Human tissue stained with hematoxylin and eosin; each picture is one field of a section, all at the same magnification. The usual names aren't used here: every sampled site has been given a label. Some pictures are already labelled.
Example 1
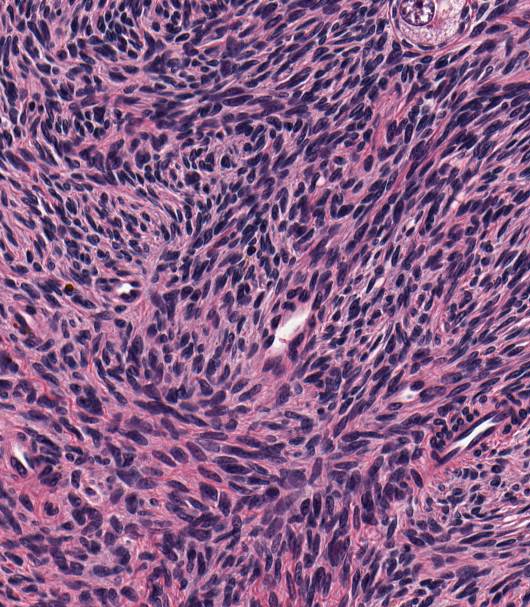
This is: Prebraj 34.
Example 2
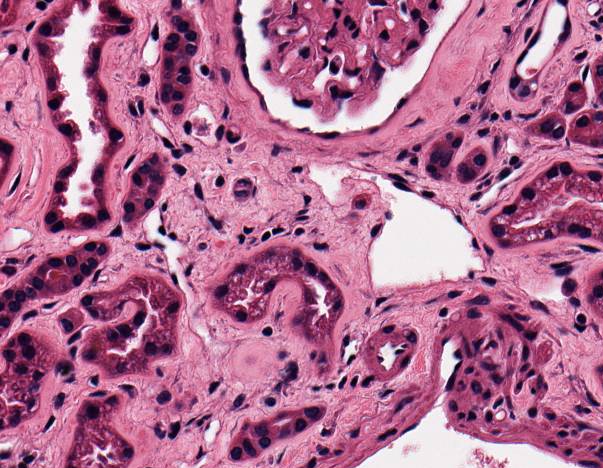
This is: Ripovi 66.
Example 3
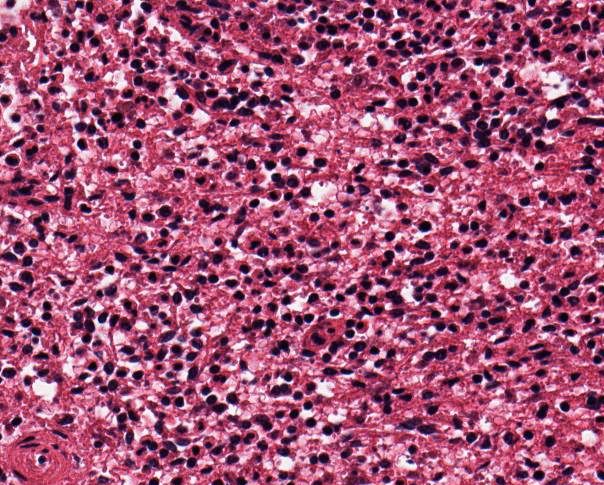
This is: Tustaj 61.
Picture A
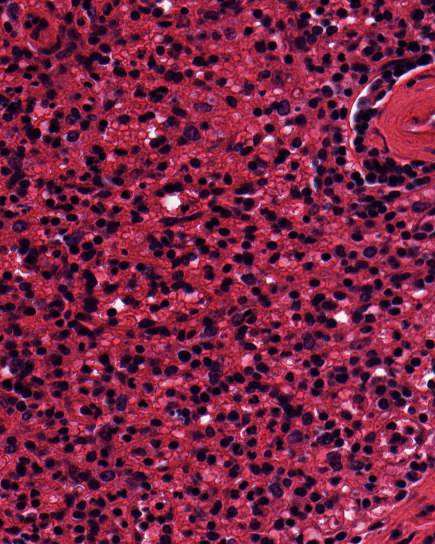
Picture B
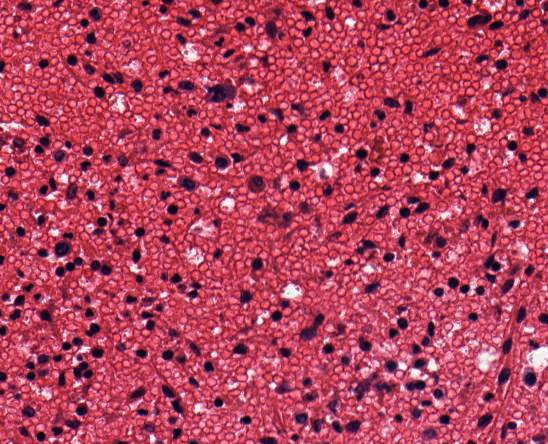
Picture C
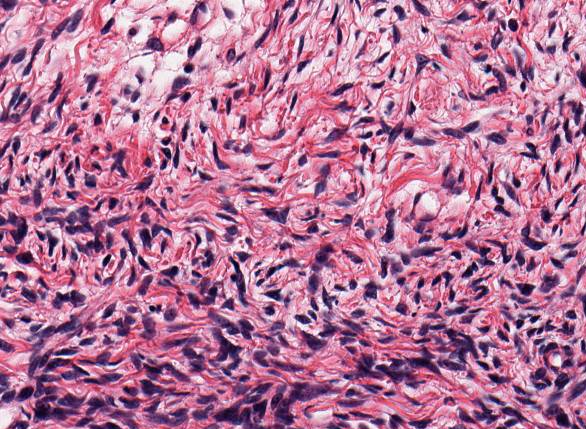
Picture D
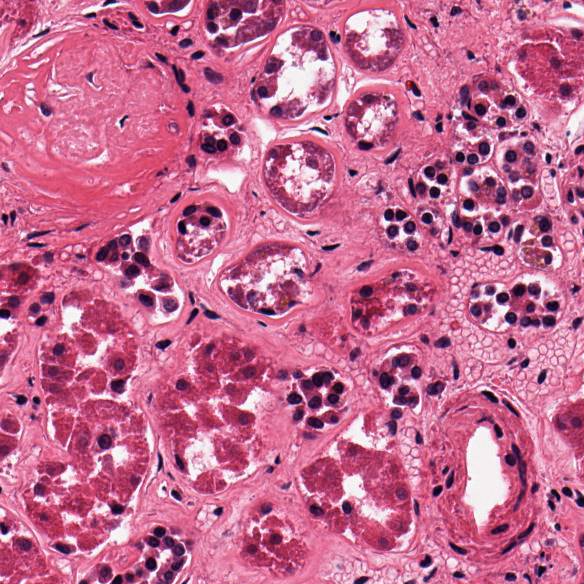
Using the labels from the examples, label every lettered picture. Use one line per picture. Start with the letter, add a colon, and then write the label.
A: Tustaj 61.
B: Tustaj 61.
C: Prebraj 34.
D: Ripovi 66.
